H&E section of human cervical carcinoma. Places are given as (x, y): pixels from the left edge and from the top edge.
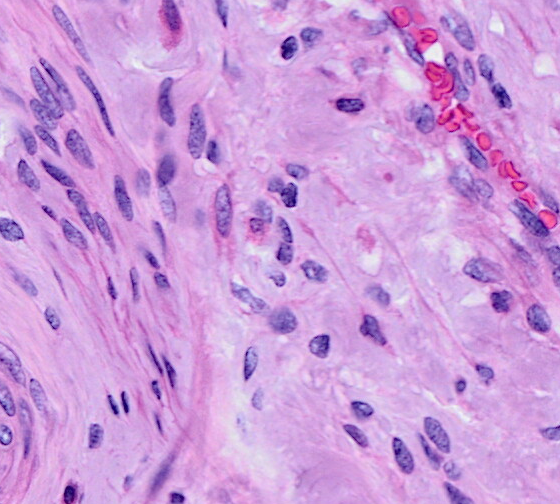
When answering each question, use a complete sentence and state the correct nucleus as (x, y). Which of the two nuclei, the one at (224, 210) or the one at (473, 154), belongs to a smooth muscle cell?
In this pair, the nucleus at (224, 210) belongs to a smooth muscle cell.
